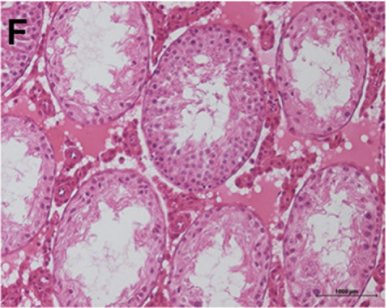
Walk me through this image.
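Cross-sectioned seminiferous tubules of the testis show a thinned epithelium with fewer layers of spermatogenic cells and many clear, empty vacuoles. The lumens are wide and filled with pale, foamy material, and the spaces between tubules are filled with pink fluid-like material with scattered cells.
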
